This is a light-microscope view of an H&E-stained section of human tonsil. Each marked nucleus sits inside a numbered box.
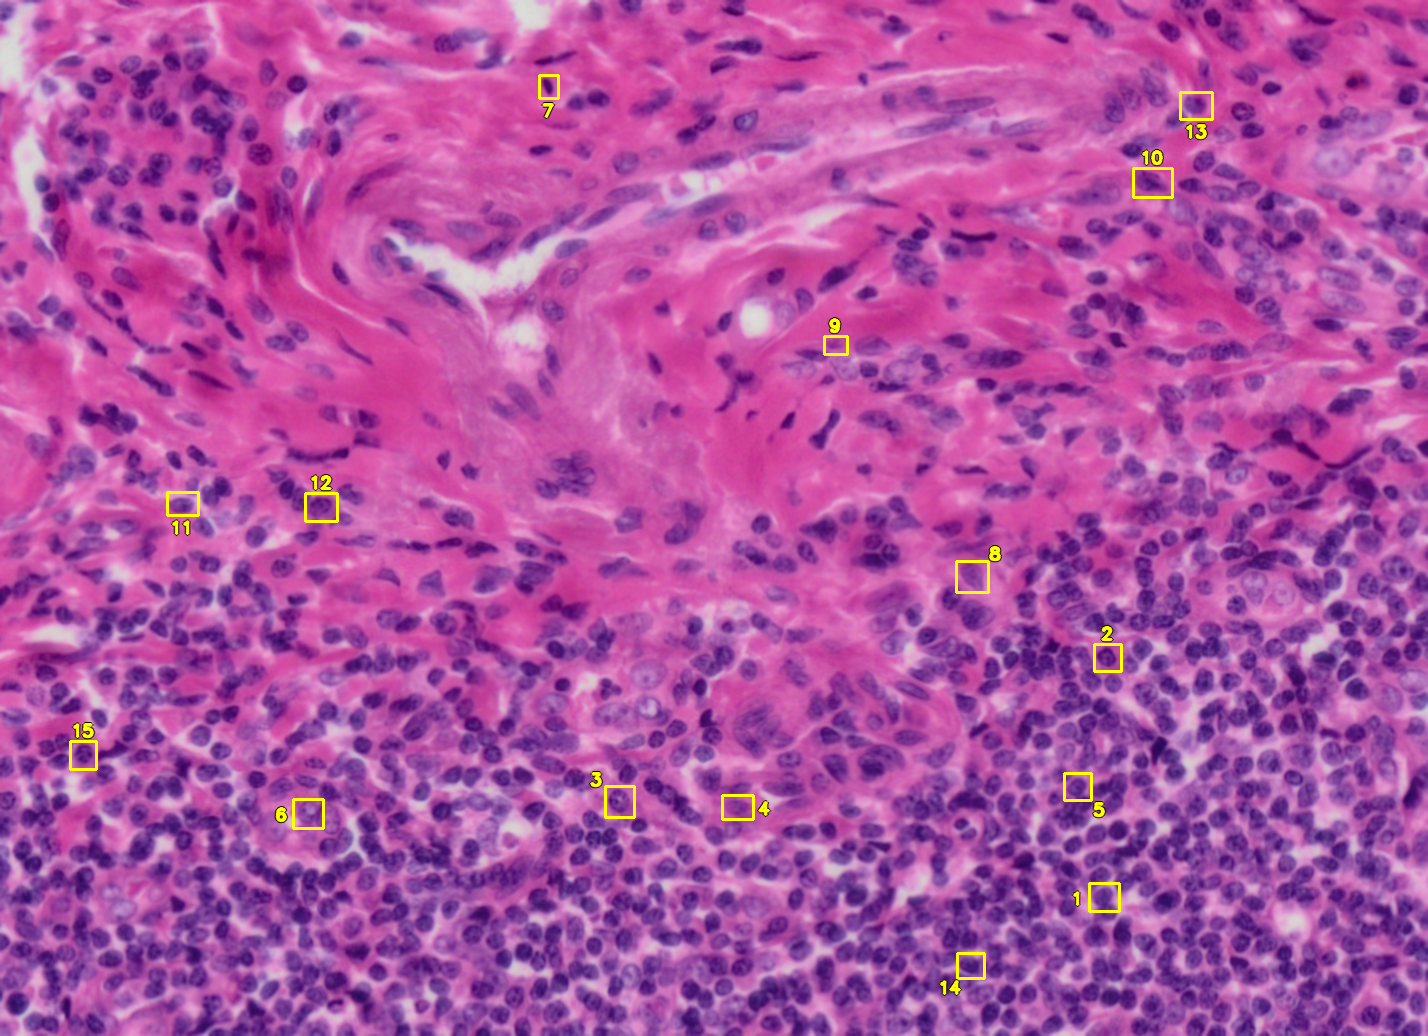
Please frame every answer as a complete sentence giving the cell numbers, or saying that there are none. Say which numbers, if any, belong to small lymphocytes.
Regarding the numbered cells 1, 5 and 14, these are small lymphocytes.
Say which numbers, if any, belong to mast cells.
The cells with labels 7, 11 and 13 are mast cells.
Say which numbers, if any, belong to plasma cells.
Marked by the numbers 2, 3, 12 and 15 are cells that are plasma cells.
